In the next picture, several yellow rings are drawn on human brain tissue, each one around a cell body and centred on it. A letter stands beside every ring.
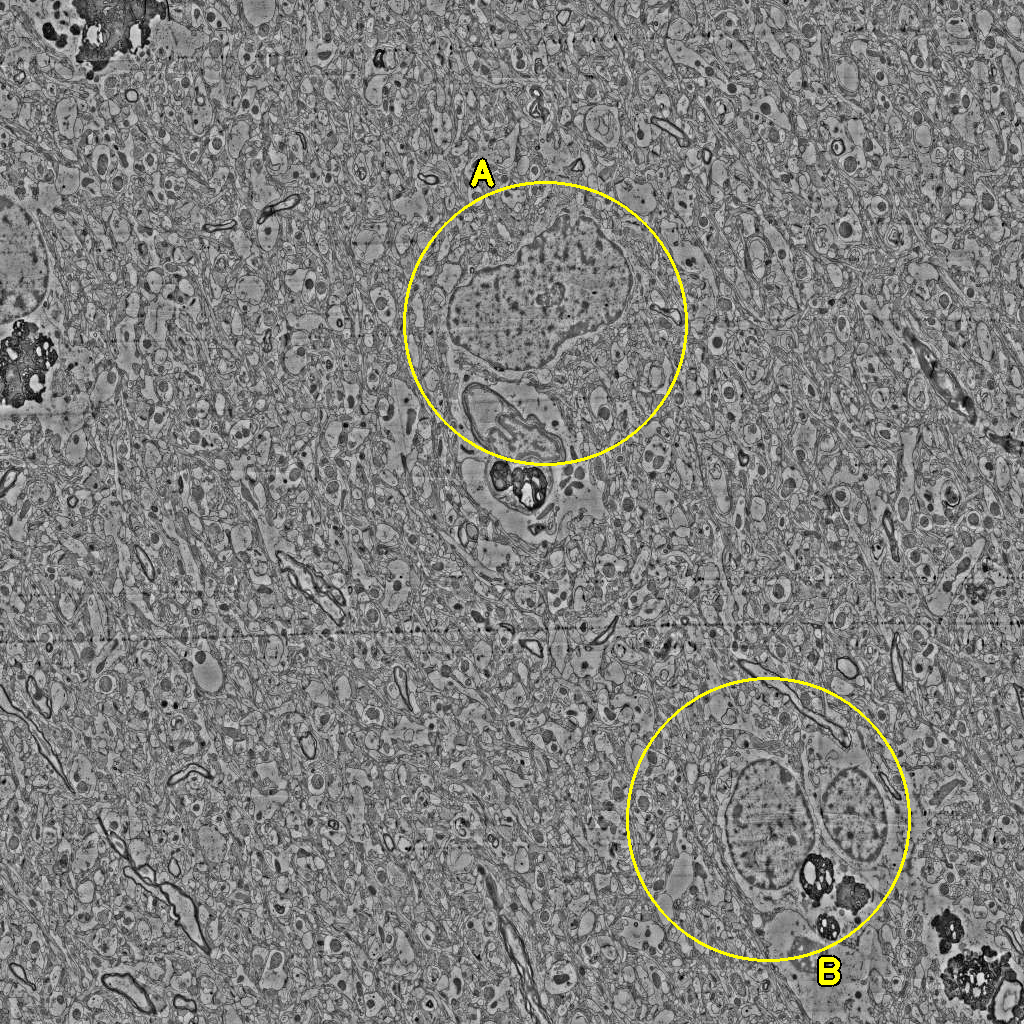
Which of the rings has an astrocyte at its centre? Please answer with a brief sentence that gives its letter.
Ring B has it at its centre.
